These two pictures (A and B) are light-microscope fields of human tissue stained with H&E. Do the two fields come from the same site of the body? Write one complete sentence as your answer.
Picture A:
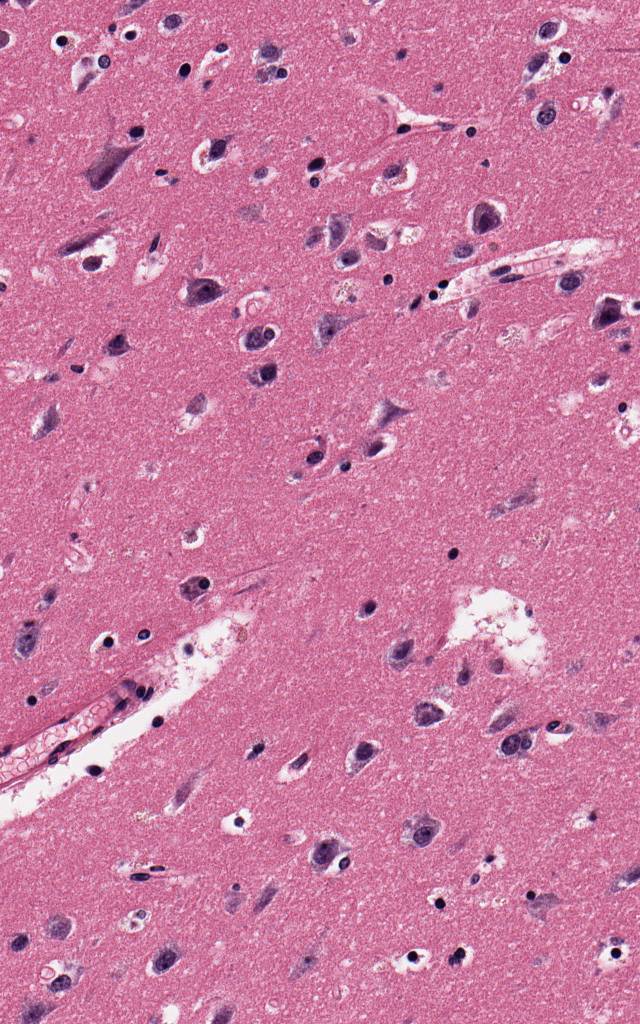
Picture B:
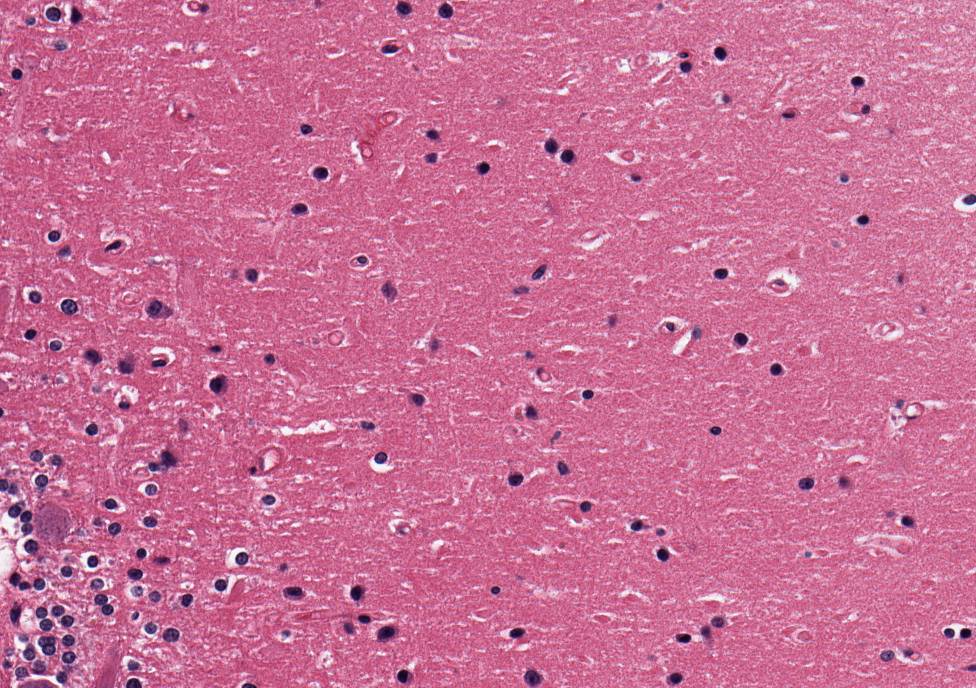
No, they differ: picture A comes from the cerebral cortex, and picture B comes from the cerebellum.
